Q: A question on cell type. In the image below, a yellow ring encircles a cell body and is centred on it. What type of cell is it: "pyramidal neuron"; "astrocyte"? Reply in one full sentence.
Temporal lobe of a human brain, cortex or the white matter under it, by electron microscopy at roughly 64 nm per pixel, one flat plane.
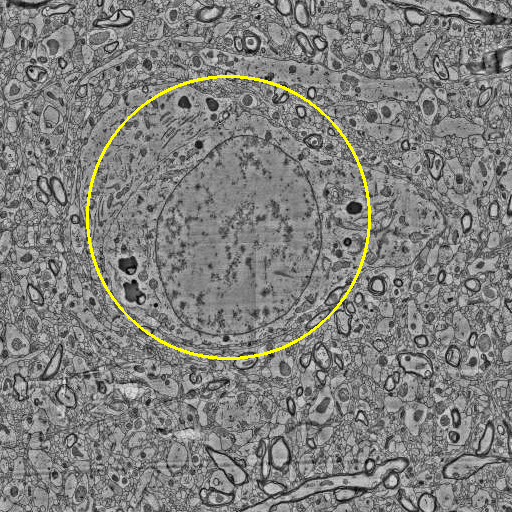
It is a pyramidal neuron whose cell body sits at the centre of the yellow ring in the image.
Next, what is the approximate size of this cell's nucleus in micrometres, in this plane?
The ringed cell's nucleus is about 13 micrometres long and 11 micrometres wide in this plane.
